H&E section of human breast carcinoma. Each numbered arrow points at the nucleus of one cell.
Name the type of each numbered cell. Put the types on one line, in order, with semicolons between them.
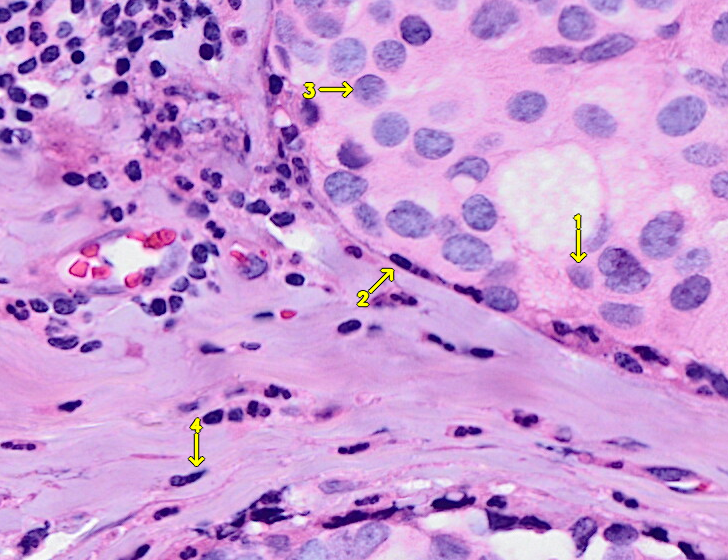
carcinoma cell; lymphocyte; carcinoma cell; lymphocyte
